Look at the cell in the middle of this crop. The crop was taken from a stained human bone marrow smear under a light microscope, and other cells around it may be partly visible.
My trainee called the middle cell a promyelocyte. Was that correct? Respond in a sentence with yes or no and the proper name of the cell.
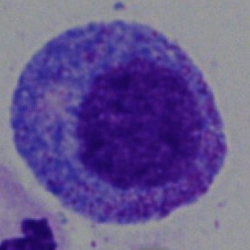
Yes, the centrally placed cell is a promyelocyte.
